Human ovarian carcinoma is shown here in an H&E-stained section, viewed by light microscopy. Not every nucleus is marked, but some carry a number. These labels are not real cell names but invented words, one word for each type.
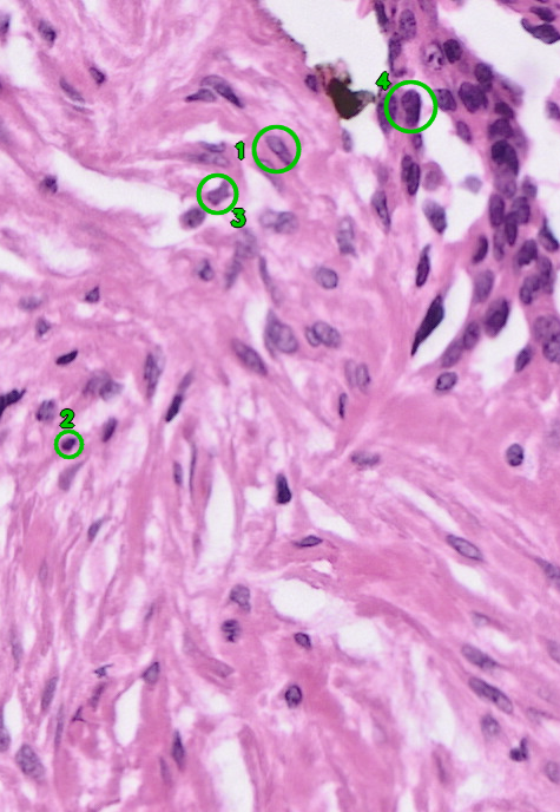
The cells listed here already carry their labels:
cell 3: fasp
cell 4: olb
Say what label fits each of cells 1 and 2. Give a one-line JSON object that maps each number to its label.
{"1": "fasp", "2": "fasp"}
